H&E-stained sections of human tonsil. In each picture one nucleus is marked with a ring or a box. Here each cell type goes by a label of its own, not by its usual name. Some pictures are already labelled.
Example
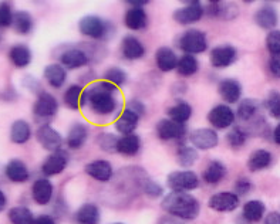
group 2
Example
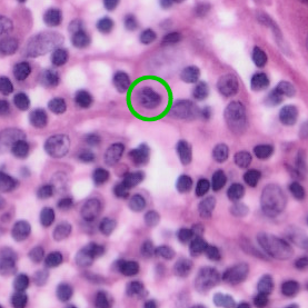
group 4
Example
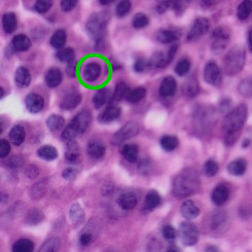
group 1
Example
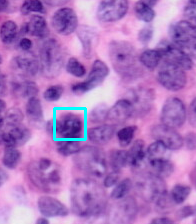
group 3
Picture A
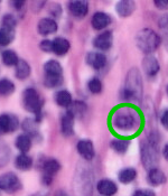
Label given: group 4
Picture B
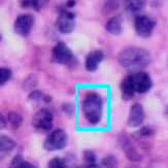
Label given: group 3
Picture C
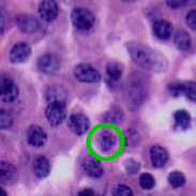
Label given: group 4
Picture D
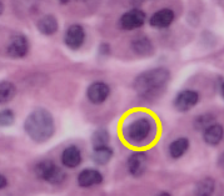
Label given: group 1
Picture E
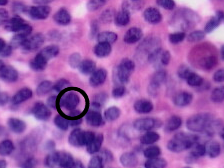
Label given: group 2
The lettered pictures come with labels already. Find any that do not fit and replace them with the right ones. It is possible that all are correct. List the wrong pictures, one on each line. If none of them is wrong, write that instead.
C: change group 4 to group 1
